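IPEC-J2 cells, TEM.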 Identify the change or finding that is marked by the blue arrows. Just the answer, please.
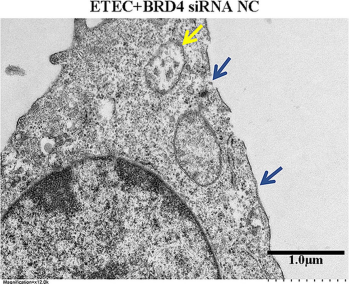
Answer: Plasma membrane perforation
